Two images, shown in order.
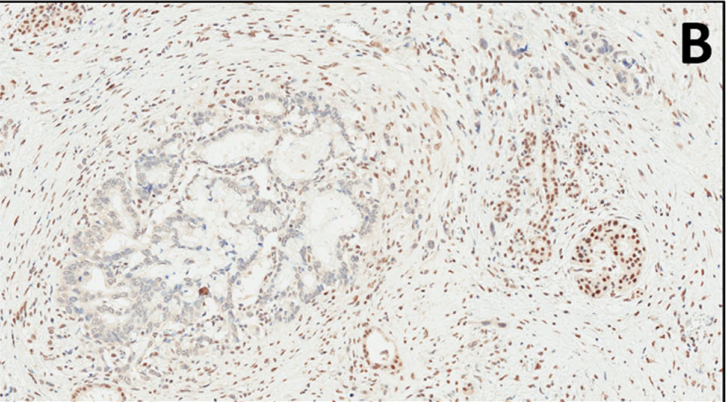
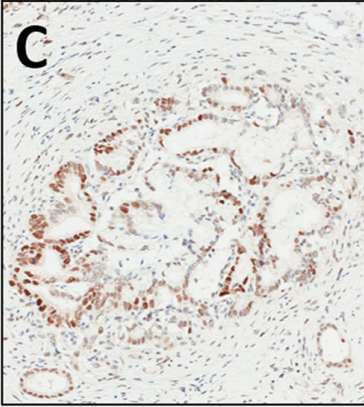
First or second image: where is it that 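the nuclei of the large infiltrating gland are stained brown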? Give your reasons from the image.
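Second image: many nuclei lining the large irregular gland are brown. First image: the nuclei of the large irregular gland are blue, while stromal nuclei around it are brown.
Conclusion: the second image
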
